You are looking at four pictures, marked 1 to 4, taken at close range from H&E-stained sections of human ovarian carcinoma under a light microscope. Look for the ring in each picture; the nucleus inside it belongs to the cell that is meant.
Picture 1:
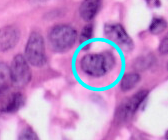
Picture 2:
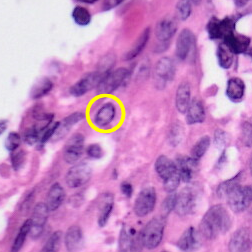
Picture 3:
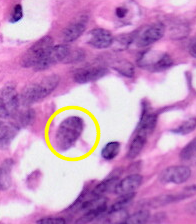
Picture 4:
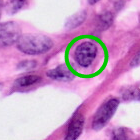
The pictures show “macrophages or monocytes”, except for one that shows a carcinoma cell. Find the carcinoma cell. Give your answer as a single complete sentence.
Picture 3 shows the carcinoma cell.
